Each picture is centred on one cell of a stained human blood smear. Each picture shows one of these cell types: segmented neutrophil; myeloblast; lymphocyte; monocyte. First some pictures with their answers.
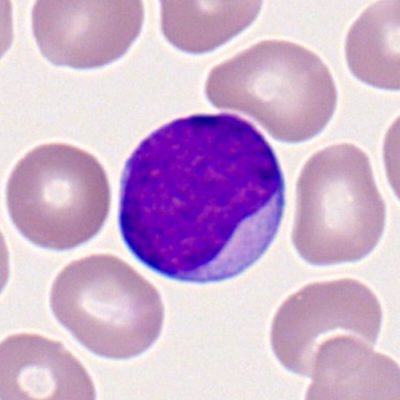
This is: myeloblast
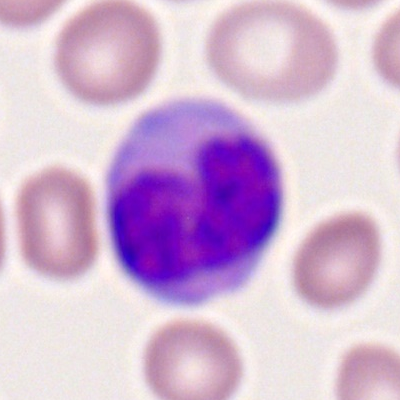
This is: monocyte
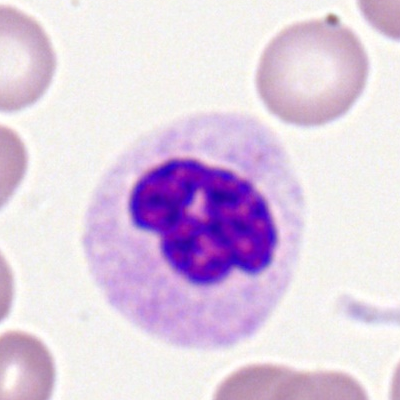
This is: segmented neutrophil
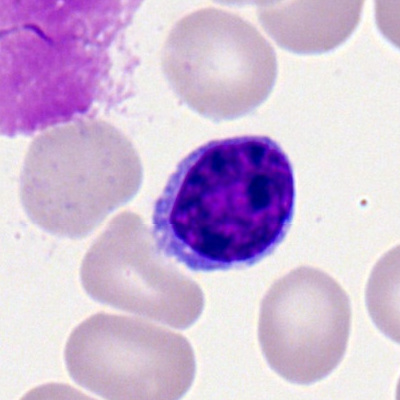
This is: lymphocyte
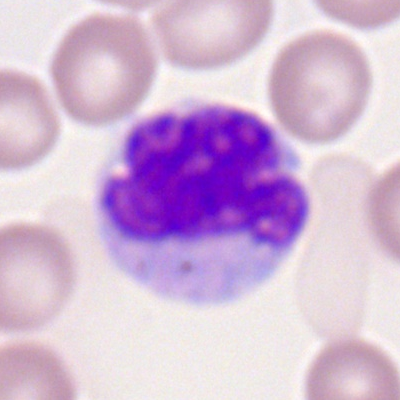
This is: monocyte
